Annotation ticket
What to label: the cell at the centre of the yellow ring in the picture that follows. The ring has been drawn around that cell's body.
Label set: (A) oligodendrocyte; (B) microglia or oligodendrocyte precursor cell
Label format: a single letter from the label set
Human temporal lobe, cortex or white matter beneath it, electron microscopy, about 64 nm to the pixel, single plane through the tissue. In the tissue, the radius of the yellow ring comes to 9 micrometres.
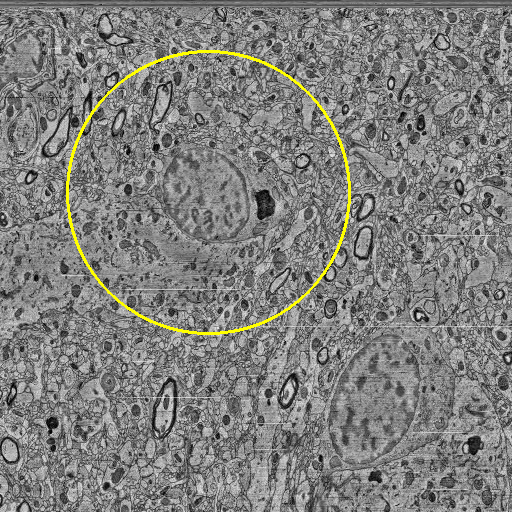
A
